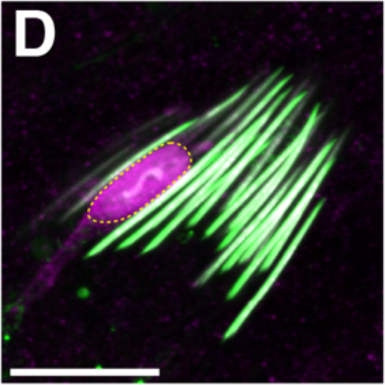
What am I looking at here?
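Needle-stage spermatids form a fan of slender parallel nuclei, bright green. Among them sits one large outlined oval nucleus, magenta and without green, whose grey DNA is not compacted and shows a curved brighter streak.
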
